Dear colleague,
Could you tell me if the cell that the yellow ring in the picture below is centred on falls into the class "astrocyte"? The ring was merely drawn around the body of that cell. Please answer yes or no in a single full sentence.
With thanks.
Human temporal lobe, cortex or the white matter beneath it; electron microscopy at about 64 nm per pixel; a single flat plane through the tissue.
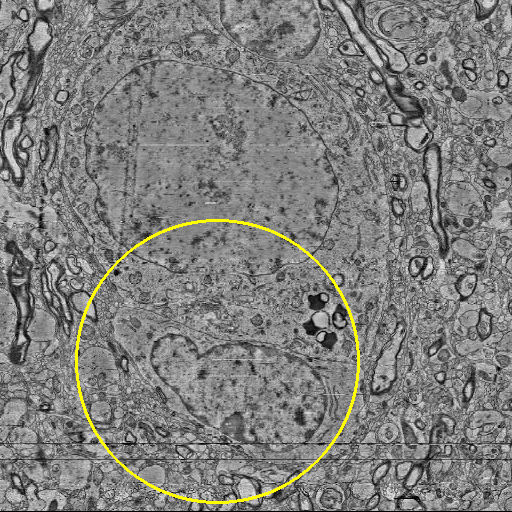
No, the cell on which the ring in your picture is centred falls into a different class.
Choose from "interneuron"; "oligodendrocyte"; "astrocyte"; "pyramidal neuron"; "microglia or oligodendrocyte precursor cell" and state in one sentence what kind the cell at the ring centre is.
Instead, the ringed cell here is a microglial cell or oligodendrocyte precursor cell.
